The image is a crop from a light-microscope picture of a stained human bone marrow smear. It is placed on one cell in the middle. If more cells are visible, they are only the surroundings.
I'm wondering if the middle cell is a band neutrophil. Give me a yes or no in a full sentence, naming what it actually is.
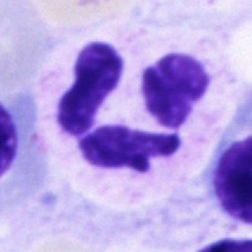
No, the central cell is not a band neutrophil, being instead a segmented neutrophil.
